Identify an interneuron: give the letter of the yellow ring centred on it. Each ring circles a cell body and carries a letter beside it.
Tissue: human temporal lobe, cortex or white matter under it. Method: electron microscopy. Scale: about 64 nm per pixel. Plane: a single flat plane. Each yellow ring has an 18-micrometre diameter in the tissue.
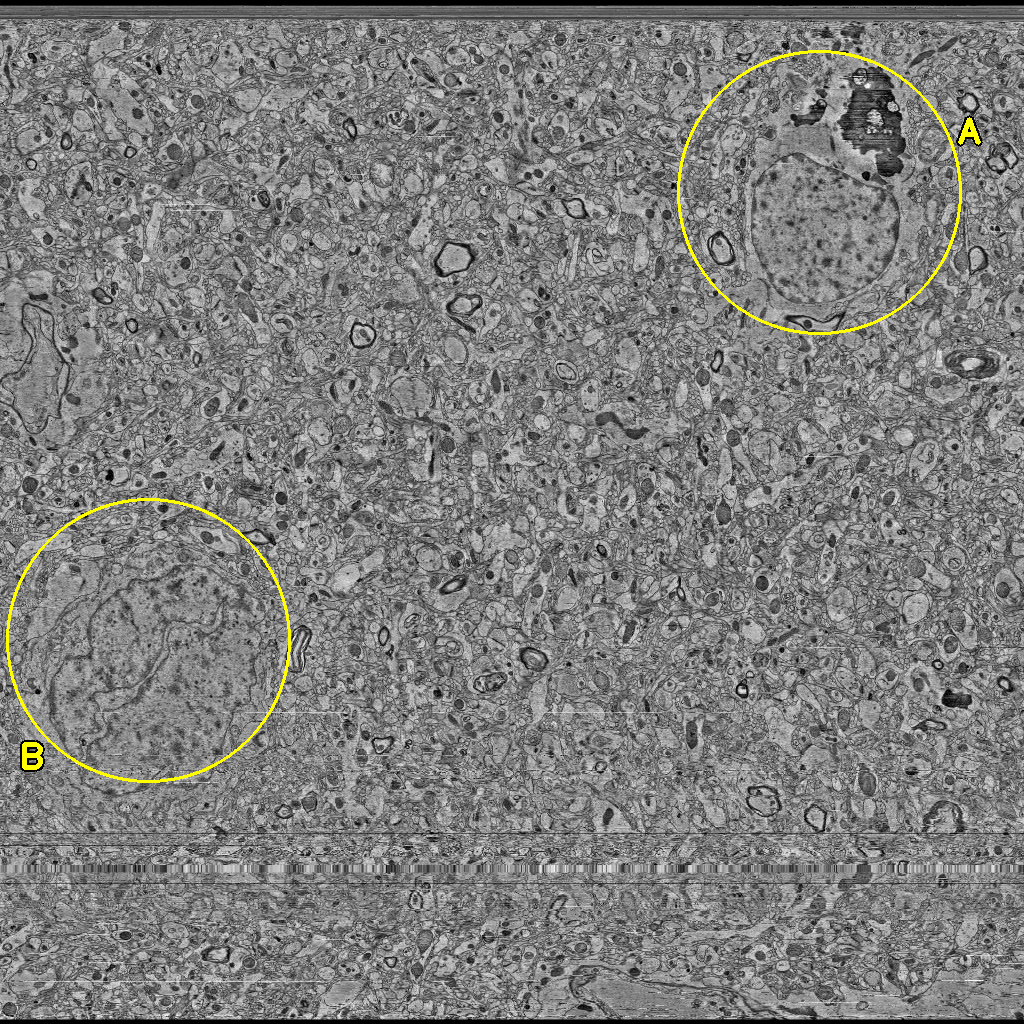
B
